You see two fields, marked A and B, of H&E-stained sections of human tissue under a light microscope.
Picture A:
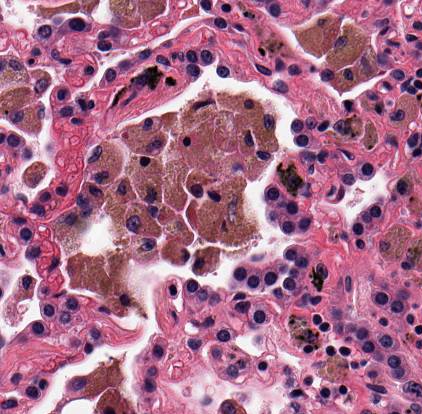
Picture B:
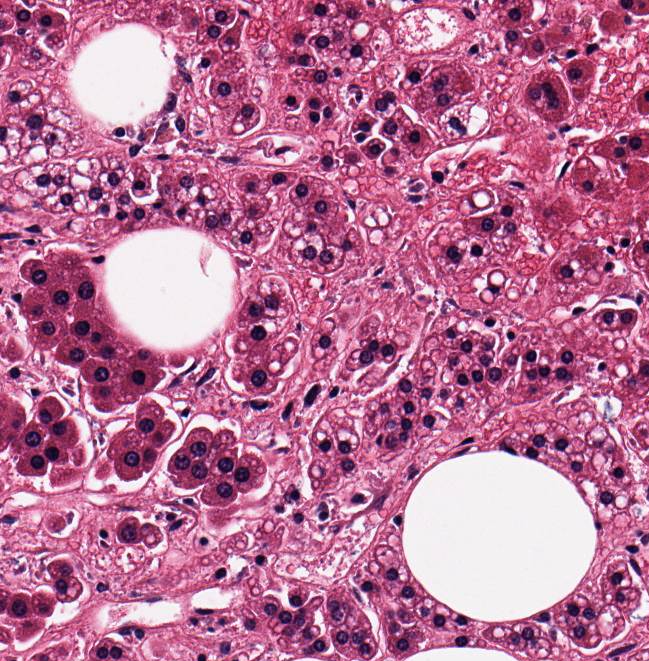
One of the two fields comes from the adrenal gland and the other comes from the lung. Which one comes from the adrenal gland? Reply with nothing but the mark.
B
